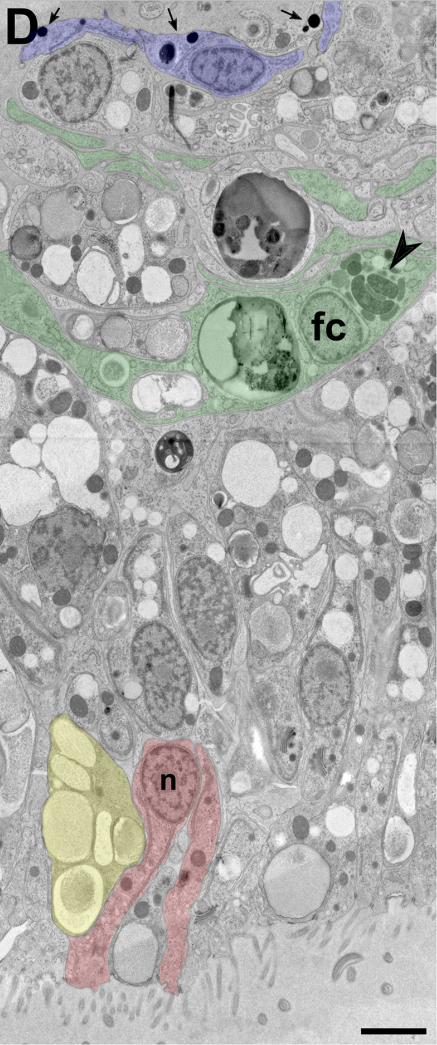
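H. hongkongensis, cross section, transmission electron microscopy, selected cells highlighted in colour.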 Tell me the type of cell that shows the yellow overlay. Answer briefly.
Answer: lipophil cells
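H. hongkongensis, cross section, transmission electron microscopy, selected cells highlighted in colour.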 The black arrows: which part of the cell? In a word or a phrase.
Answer: Dense granules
